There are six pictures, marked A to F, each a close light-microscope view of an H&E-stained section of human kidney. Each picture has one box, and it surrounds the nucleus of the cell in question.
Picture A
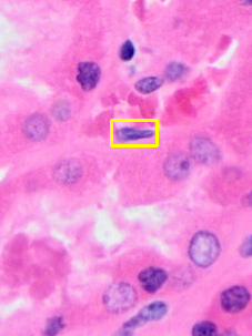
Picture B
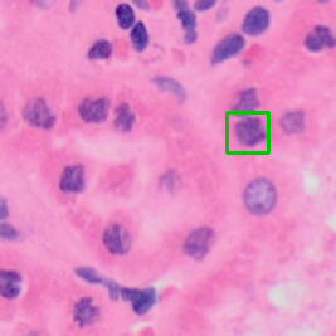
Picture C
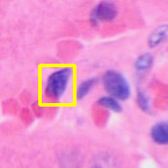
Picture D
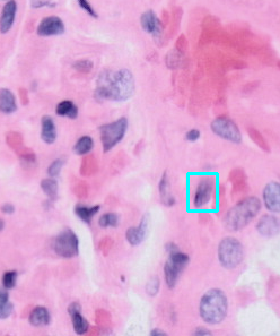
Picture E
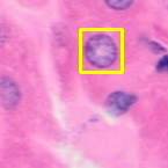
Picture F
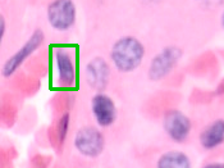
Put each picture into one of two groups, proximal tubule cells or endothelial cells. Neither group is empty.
A: endothelial cell
B: proximal tubule cell
C: endothelial cell
D: endothelial cell
E: proximal tubule cell
F: endothelial cell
